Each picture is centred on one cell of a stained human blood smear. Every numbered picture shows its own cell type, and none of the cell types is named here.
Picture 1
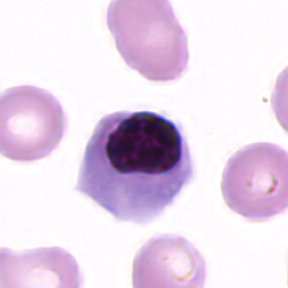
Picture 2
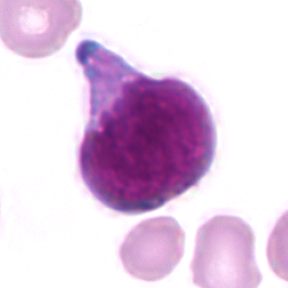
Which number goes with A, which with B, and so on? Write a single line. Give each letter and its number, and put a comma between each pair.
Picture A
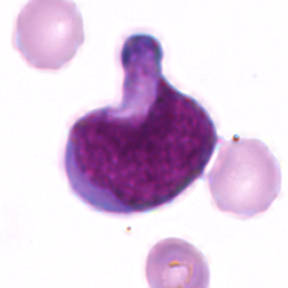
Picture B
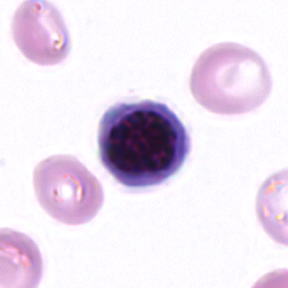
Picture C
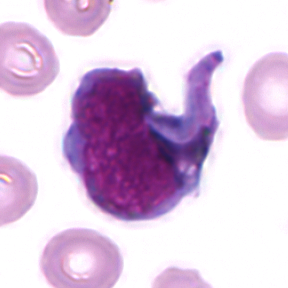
A 2, B 1, C 2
